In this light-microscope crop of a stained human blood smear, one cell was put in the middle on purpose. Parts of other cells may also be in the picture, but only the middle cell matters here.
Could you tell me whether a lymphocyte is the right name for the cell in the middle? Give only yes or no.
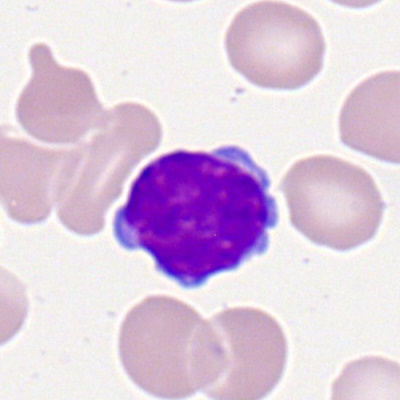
yes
